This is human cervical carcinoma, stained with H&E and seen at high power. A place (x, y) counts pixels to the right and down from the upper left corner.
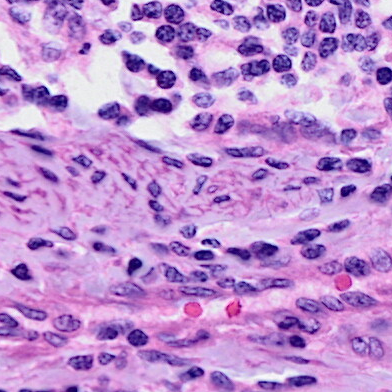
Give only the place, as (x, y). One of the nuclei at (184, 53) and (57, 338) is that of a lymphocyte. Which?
(184, 53)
